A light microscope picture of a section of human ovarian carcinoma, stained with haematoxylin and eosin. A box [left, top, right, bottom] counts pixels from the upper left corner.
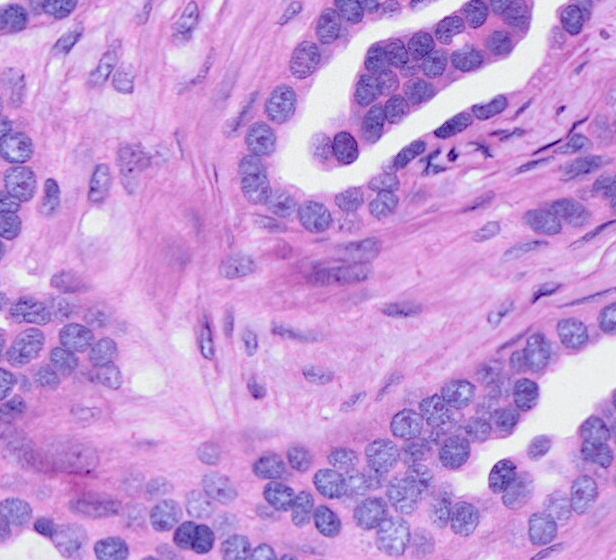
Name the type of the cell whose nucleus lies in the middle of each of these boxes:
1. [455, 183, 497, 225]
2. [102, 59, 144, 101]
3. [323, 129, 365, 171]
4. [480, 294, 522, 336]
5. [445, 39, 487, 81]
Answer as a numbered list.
1. fibroblast
2. fibroblast
3. carcinoma cell
4. fibroblast
5. carcinoma cell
